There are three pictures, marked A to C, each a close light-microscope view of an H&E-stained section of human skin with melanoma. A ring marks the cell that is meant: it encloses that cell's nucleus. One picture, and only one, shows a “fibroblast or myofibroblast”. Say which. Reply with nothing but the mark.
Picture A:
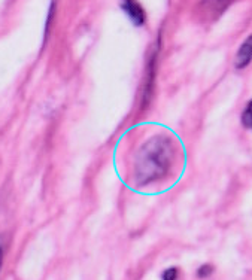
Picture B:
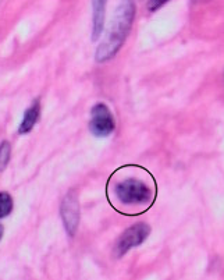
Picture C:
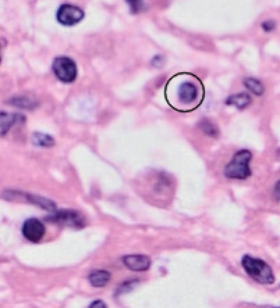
A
